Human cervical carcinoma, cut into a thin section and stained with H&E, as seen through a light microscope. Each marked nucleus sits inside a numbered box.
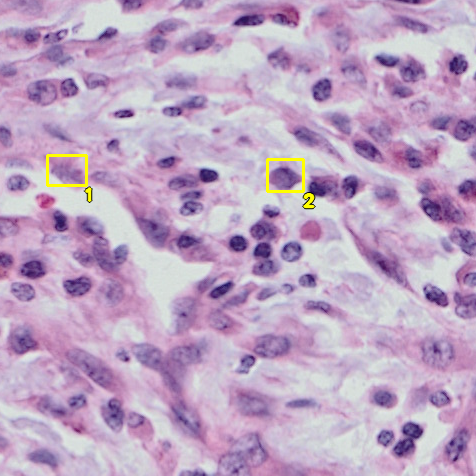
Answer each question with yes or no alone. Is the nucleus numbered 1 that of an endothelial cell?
yes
